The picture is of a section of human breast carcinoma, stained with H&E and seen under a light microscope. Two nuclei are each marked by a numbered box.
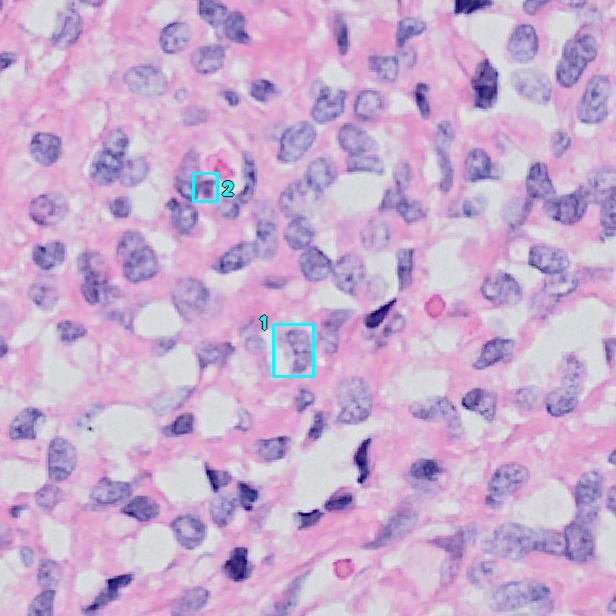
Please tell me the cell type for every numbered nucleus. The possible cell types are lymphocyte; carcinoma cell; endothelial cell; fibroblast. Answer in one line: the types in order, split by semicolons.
carcinoma cell; endothelial cell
